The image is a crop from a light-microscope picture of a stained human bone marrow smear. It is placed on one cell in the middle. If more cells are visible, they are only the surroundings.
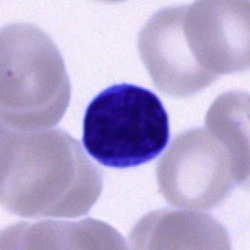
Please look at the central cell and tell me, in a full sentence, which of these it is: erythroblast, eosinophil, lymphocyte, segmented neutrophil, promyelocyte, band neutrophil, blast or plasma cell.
For this crop, the central cell is a lymphocyte.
